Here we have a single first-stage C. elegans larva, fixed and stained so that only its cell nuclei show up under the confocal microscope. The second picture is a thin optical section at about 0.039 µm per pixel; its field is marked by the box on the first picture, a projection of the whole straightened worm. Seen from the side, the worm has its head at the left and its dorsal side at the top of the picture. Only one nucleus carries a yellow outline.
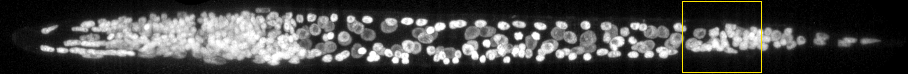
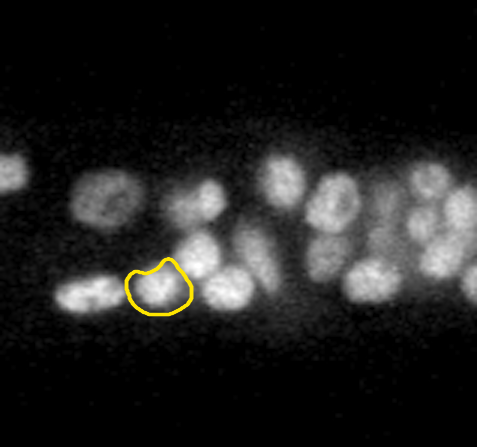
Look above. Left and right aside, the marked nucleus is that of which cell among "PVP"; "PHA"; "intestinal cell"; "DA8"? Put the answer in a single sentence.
It is the nucleus of PVP, a neuron.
